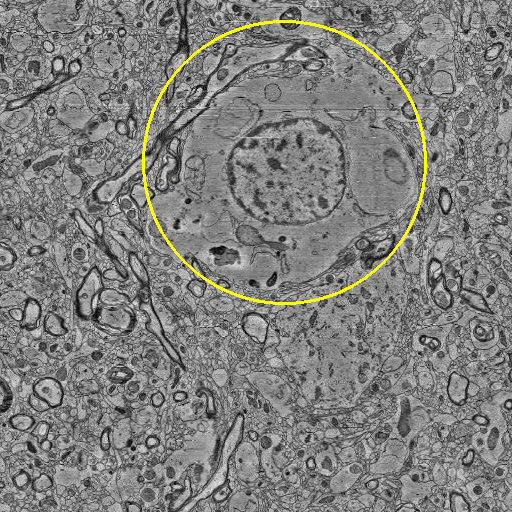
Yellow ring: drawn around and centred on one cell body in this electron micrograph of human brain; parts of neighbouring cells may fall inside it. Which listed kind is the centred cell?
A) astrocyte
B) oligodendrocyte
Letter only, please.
A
